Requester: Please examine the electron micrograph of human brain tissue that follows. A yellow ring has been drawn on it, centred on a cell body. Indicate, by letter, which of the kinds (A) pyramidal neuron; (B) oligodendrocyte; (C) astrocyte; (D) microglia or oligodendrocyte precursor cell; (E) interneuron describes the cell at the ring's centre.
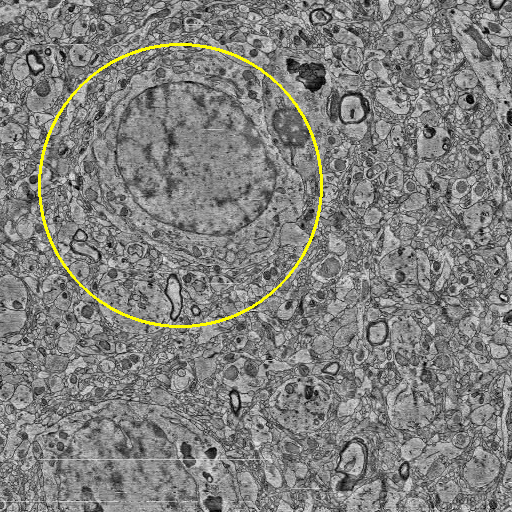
E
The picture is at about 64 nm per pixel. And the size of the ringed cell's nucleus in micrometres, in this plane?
Approximately 11 micrometres long and 9 micrometres wide, in this plane.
